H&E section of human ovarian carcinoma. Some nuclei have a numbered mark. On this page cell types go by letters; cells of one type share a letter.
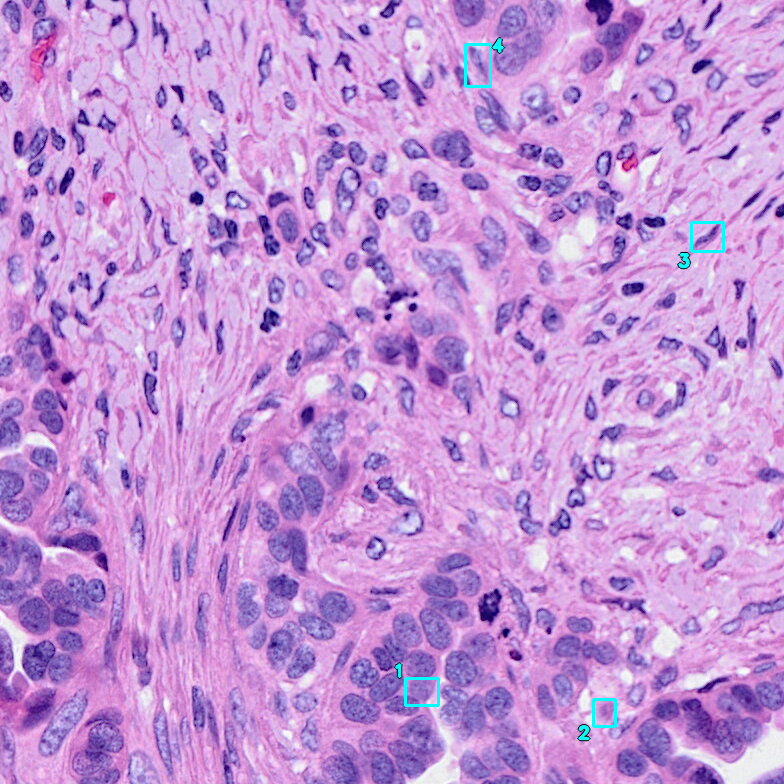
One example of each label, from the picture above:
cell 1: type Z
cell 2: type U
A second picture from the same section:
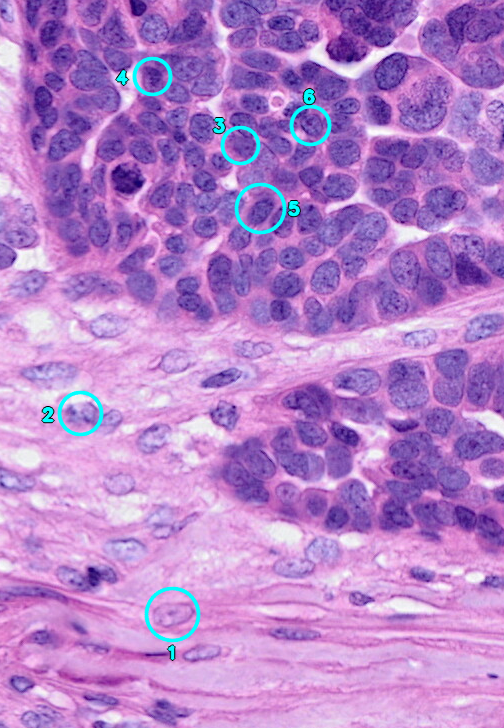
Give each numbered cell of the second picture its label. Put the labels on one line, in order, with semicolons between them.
type U; type U; type Z; type Z; type Z; type Z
